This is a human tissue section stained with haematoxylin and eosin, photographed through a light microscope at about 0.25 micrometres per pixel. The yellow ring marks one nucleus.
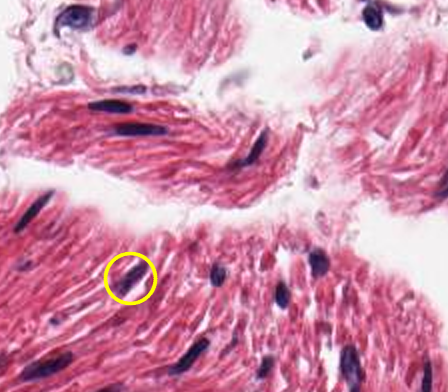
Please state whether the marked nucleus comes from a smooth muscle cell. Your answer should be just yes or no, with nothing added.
yes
